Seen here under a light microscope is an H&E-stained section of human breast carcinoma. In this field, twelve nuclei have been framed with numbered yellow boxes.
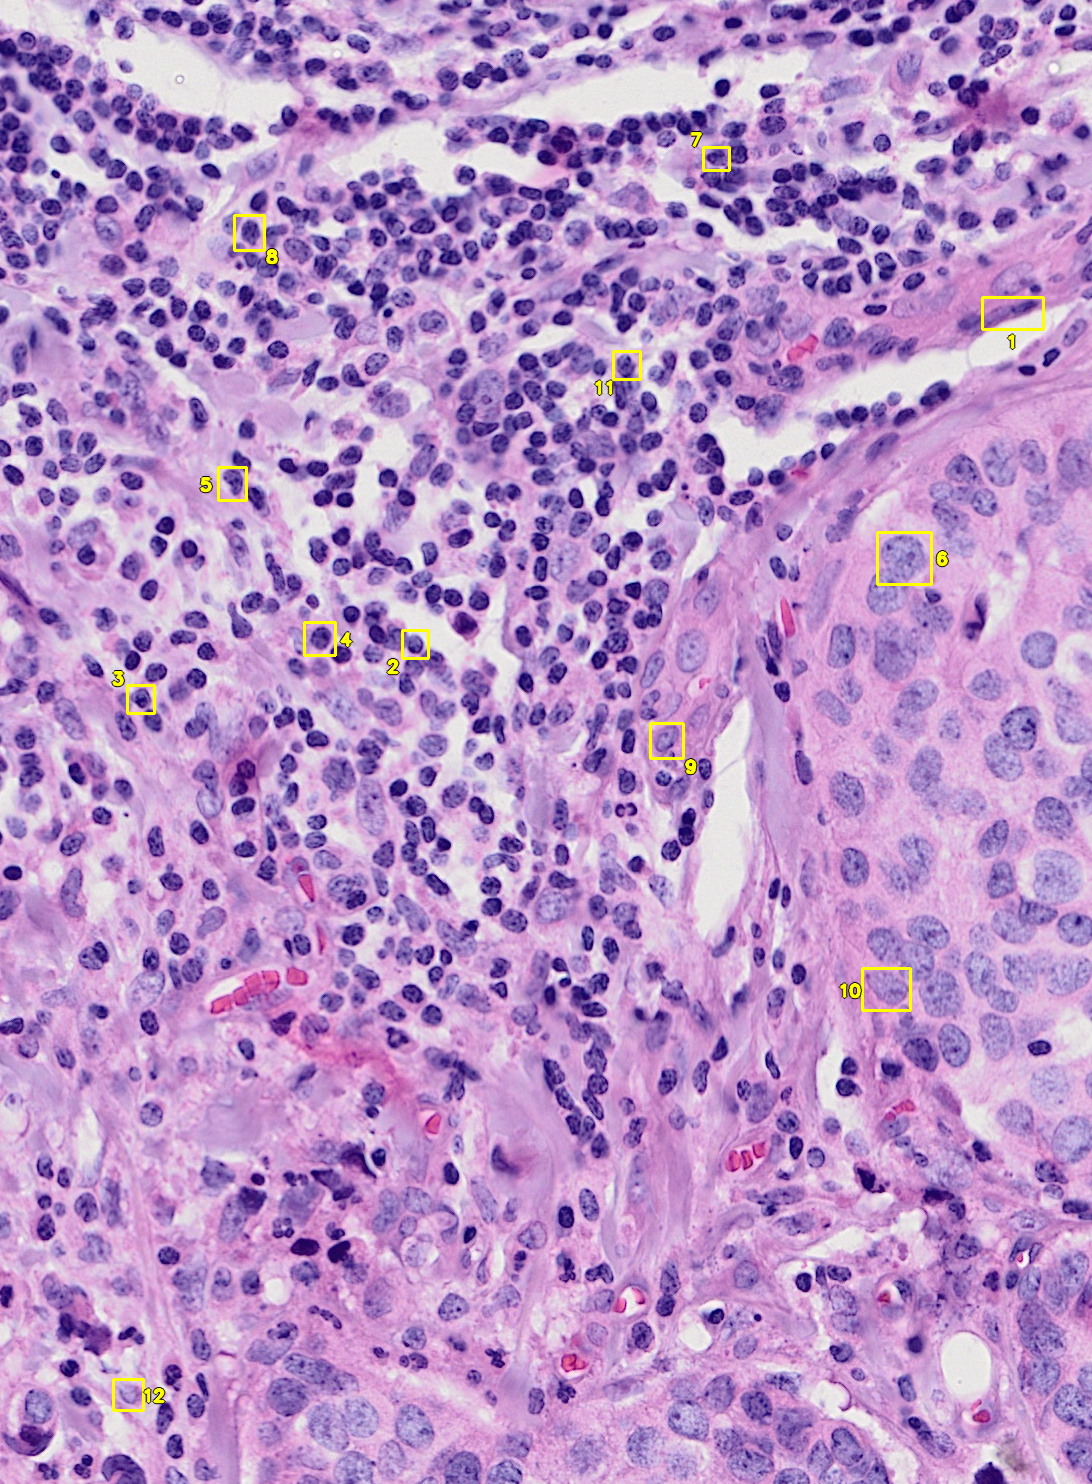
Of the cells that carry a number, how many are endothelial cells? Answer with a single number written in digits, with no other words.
2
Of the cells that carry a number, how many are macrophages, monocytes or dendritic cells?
1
